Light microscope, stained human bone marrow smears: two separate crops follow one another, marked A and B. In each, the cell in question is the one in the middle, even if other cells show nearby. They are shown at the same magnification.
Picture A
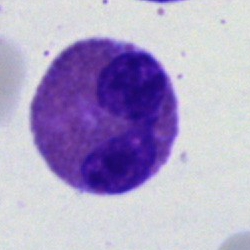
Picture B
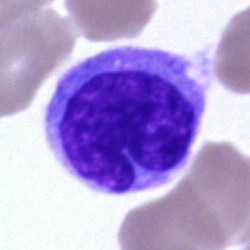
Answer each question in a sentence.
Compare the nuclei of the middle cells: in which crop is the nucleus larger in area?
Picture B shows the larger nucleus; it covers about 1.5 times the area of the nucleus in picture A.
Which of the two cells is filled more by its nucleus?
In picture B the nucleus takes up the larger part of its cell.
